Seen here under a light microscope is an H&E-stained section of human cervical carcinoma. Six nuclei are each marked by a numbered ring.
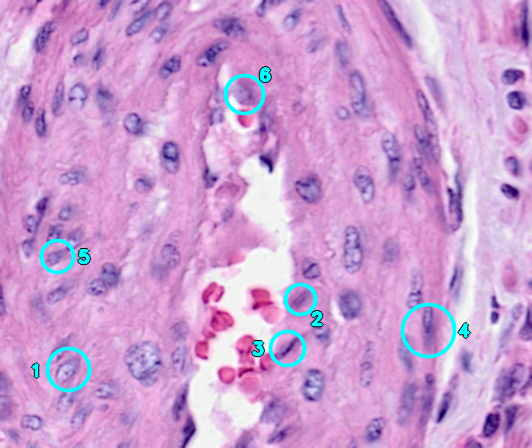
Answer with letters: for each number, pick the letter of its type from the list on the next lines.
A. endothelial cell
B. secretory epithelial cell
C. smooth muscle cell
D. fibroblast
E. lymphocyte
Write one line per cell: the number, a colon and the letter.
1: C
2: A
3: A
4: C
5: C
6: A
